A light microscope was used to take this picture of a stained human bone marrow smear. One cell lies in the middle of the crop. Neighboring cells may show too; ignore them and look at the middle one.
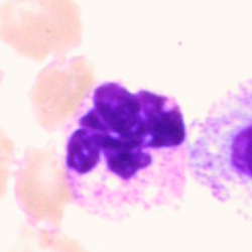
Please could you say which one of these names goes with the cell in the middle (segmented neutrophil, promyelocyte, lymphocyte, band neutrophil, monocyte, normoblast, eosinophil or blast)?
segmented neutrophil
